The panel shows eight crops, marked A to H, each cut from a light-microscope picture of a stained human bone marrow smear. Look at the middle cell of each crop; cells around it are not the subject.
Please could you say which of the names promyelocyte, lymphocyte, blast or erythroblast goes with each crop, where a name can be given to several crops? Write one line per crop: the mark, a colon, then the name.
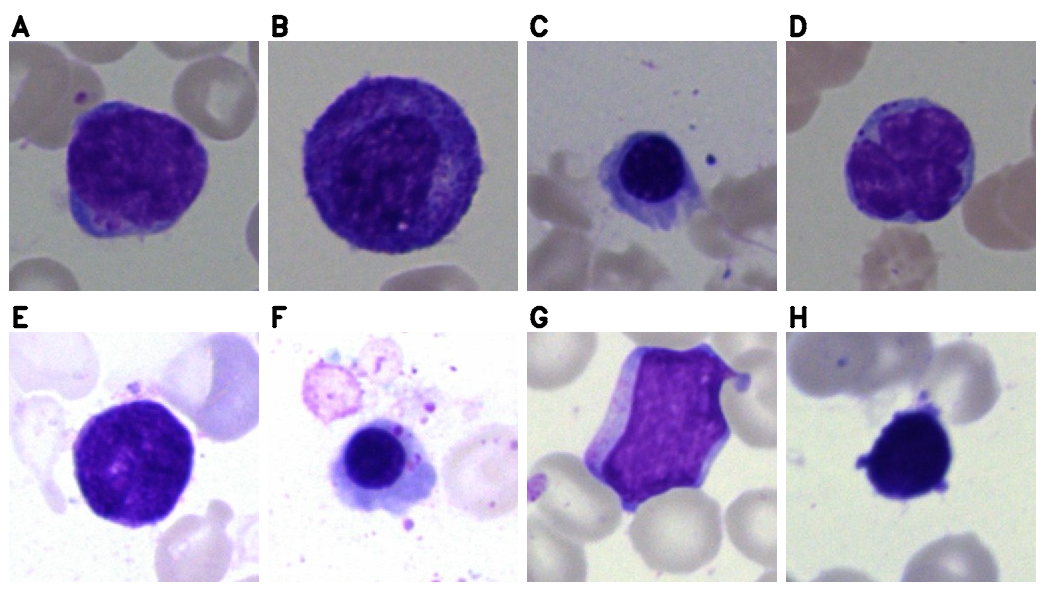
A: blast
B: promyelocyte
C: erythroblast
D: lymphocyte
E: blast
F: erythroblast
G: blast
H: lymphocyte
